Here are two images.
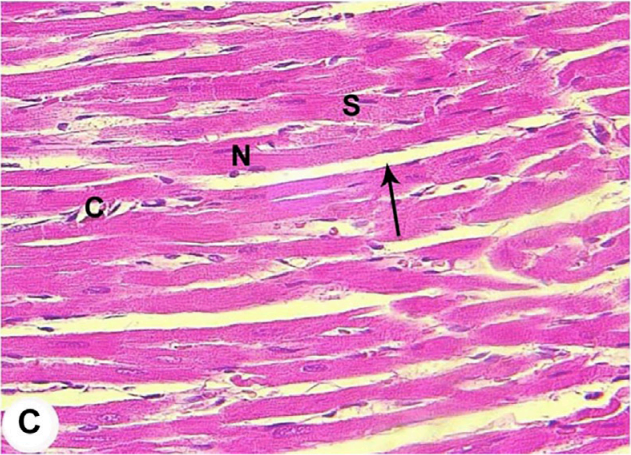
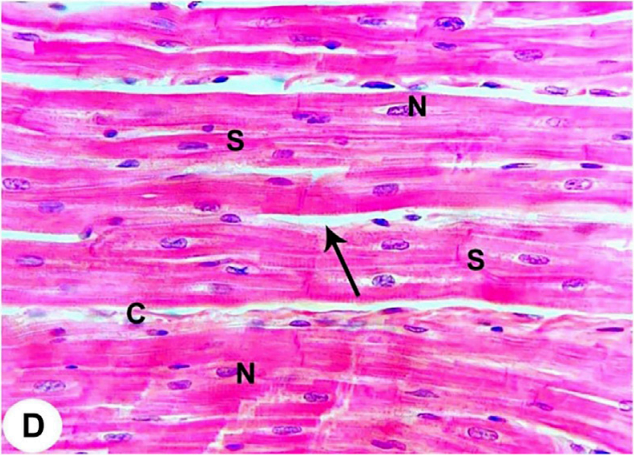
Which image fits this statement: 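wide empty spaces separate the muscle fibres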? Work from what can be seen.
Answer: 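Second image: fibres lie closely packed with only narrow gaps between them. First image: numerous long pale clefts separate the fibres.
Hence: the first image.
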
